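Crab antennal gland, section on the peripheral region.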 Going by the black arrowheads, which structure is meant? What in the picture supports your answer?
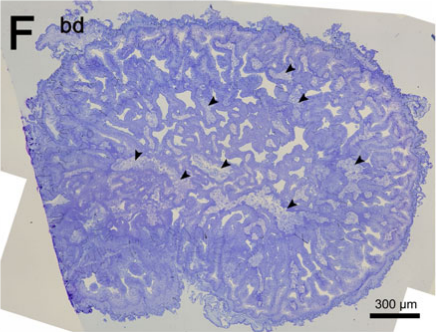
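The arrowheads point to pale, loosely textured spaces among the densely stained convoluted tubules. No large central cavity is present in this section.
Coelomosac.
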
